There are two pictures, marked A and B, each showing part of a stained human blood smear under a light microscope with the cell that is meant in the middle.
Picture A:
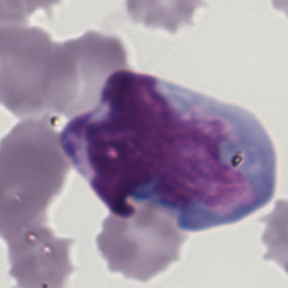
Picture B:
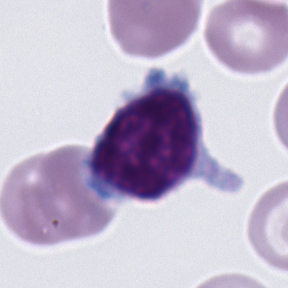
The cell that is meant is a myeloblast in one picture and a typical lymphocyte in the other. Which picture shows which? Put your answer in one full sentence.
Picture A is of a myeloblast, and picture B is of a typical lymphocyte.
